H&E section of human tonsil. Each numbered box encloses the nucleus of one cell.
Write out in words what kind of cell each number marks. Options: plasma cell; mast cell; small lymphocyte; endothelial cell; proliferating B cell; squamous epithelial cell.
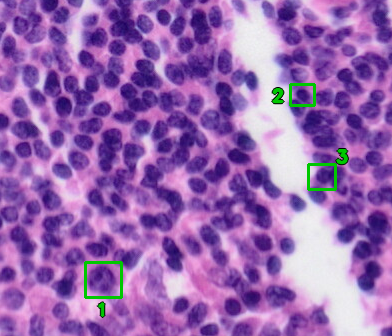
Cell 1 is a proliferating B cell, cell 2 is a small lymphocyte and cell 3 is a small lymphocyte.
